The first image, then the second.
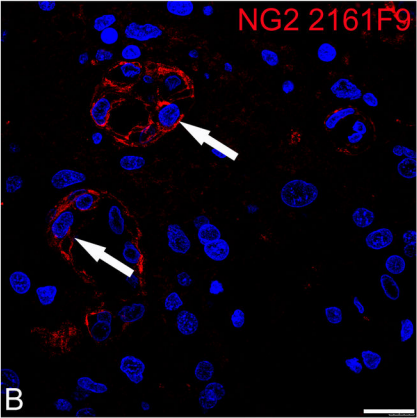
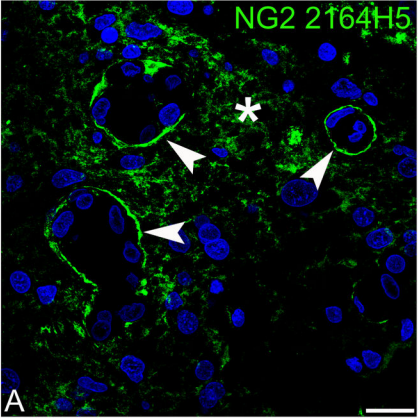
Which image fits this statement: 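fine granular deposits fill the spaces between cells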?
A: The second image.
